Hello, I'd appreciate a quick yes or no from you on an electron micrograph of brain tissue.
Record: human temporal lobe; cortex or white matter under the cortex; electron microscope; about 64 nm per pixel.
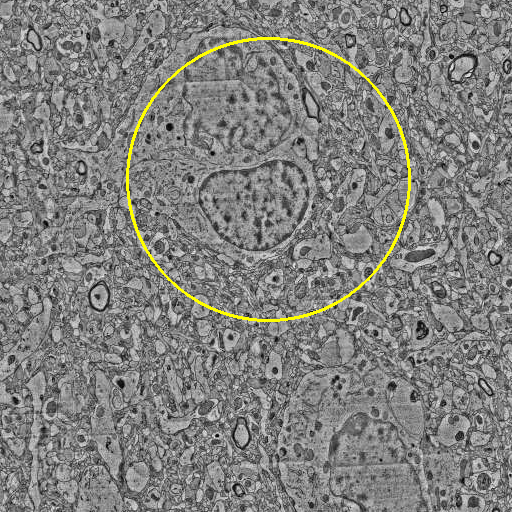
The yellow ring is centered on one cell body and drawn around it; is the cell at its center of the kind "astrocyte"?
no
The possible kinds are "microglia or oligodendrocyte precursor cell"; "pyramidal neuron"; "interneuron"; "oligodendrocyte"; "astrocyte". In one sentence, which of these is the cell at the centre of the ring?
The ring holds a microglial cell or oligodendrocyte precursor cell at its centre.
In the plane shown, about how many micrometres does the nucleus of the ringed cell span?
Approximately 7 micrometres long and 6 micrometres wide, in this plane.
